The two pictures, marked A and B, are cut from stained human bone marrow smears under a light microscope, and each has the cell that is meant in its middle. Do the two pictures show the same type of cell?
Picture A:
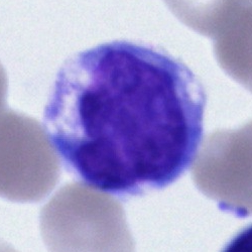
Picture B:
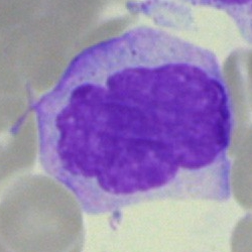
yes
